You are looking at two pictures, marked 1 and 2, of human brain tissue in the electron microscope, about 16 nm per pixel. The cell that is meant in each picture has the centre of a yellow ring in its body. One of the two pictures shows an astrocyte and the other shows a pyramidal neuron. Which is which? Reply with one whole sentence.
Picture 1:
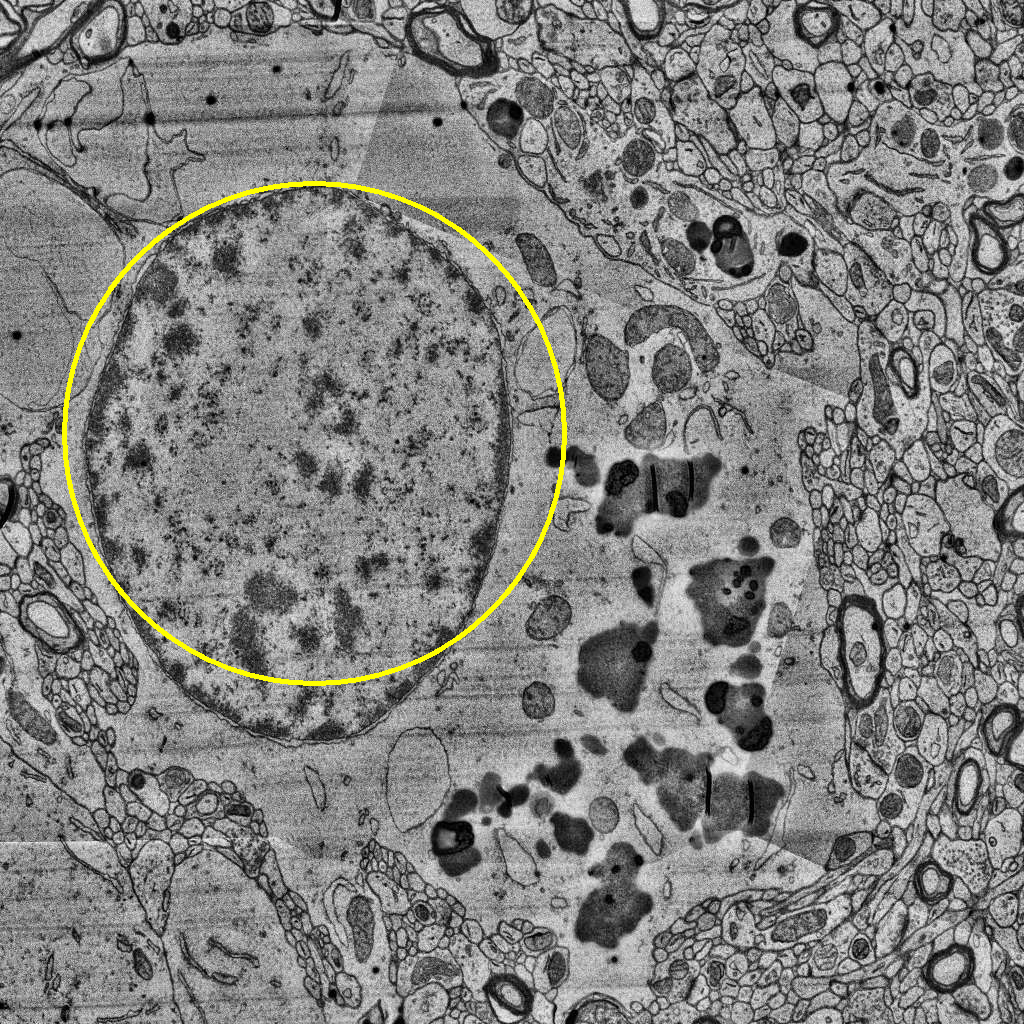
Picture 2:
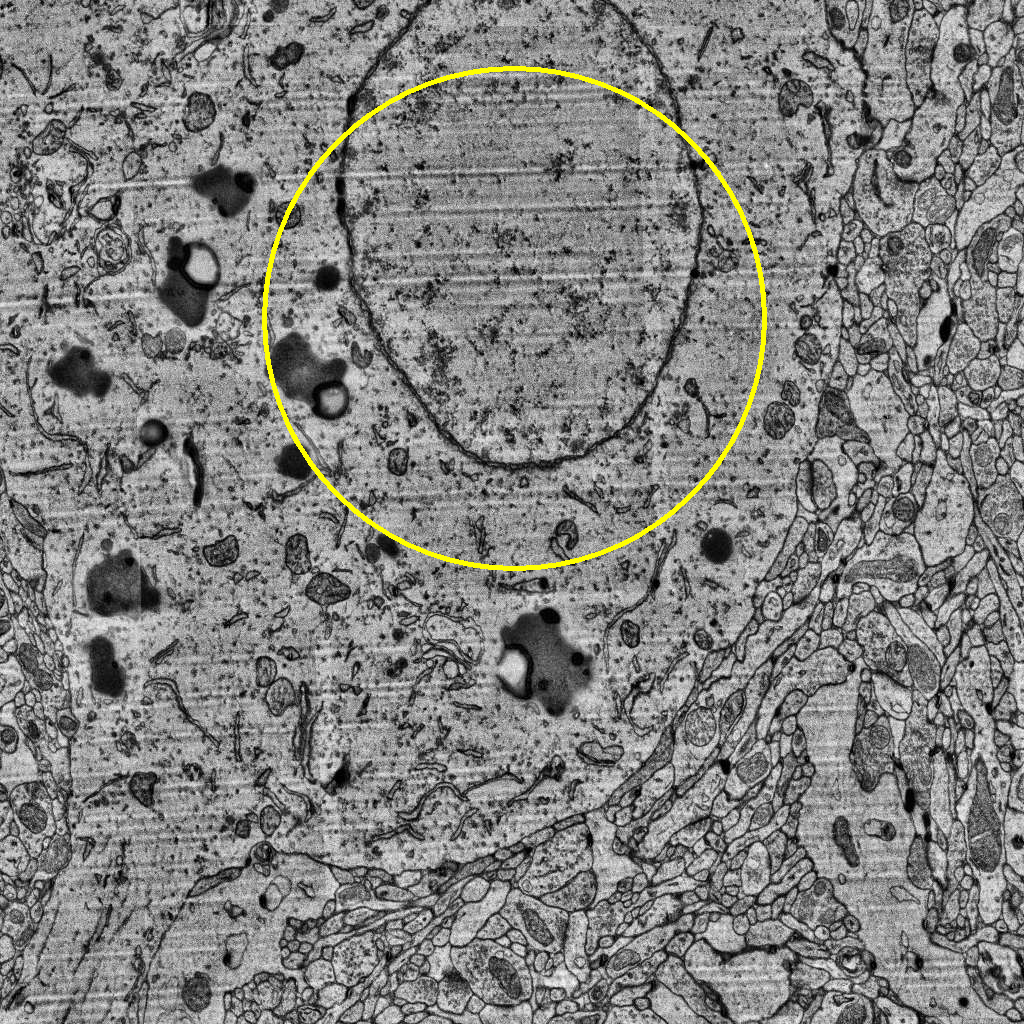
The cell in picture 1 is an astrocyte, and the one in picture 2 is a pyramidal neuron.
